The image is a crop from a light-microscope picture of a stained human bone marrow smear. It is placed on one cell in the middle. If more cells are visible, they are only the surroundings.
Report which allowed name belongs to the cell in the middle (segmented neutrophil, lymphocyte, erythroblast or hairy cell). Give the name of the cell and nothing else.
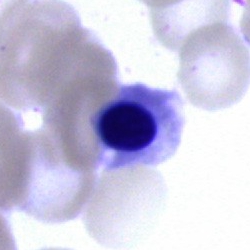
erythroblast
